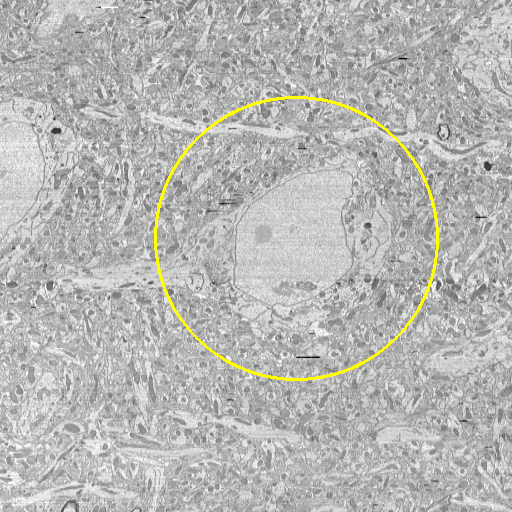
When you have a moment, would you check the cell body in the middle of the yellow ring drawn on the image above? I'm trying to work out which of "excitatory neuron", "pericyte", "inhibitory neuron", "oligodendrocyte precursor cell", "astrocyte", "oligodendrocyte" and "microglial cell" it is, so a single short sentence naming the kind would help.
This cell body belongs to an excitatory neuron.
